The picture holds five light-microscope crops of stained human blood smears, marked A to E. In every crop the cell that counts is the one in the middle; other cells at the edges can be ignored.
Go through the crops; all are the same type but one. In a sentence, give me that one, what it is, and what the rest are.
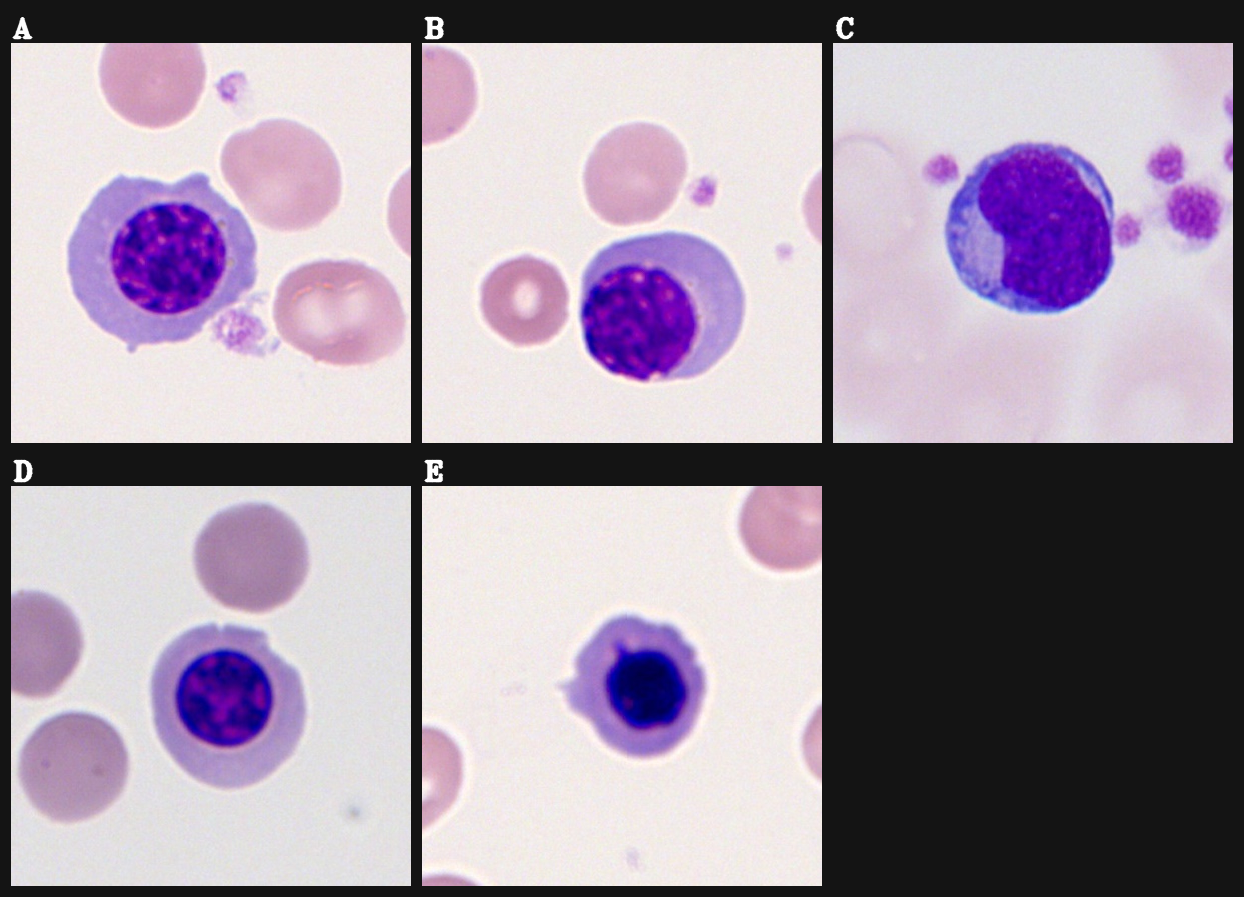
Crop C is the exception here: it is a lymphocyte, and the others are erythroblasts.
